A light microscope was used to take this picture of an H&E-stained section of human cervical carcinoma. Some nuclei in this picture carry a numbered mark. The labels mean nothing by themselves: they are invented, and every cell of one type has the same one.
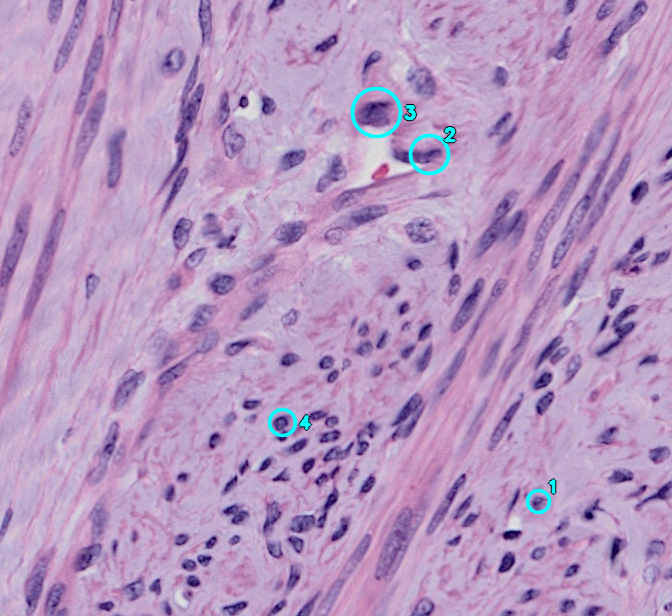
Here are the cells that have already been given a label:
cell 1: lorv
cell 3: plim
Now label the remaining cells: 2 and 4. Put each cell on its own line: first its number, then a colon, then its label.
2: plim
4: lorv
